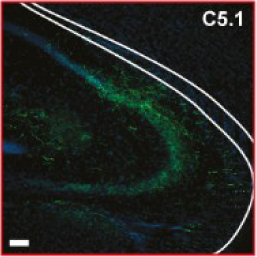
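This fluorescence image shows a hippocampal region with a narrow, curved layer of closely packed cells. The blue nuclei crowd into a thin C-shaped band, while the tissue on either side holds far fewer nuclei. Thin green fibres run along the curved cell layer and branch into the neighbouring tissue. The fibres are densest close to the cell band and thin out away from it.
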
